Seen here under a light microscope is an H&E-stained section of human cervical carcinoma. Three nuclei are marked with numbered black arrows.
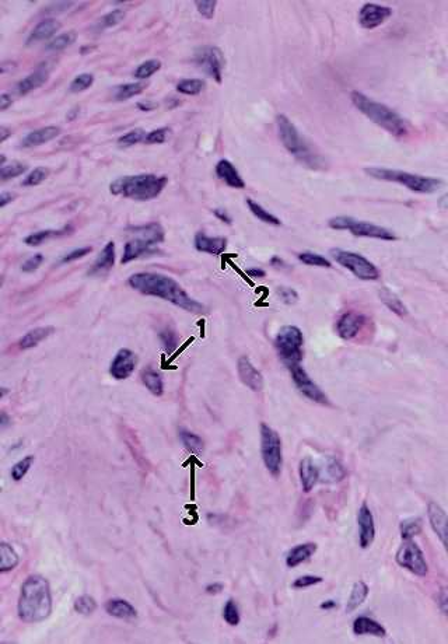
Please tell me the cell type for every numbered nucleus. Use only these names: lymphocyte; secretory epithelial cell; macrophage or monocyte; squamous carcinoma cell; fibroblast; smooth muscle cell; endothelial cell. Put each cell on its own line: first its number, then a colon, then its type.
1: smooth muscle cell
2: fibroblast
3: smooth muscle cell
